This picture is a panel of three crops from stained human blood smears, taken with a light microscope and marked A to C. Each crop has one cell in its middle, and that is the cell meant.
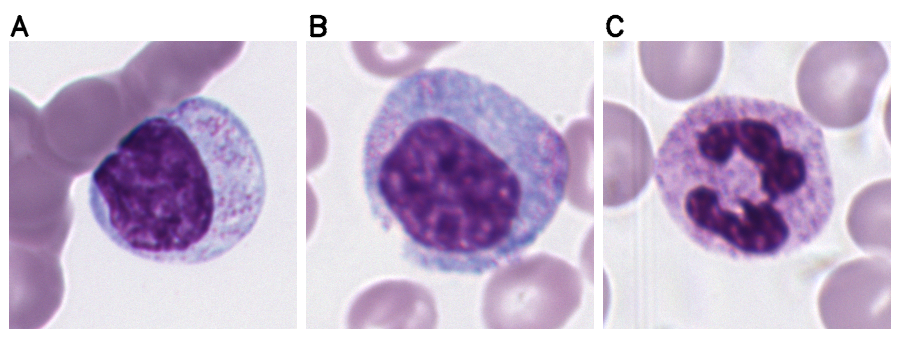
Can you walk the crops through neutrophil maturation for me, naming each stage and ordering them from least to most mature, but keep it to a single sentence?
The progression from least to most mature runs crop B (a promyelocyte), crop A (a myelocyte) and crop C (a segmented neutrophil).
